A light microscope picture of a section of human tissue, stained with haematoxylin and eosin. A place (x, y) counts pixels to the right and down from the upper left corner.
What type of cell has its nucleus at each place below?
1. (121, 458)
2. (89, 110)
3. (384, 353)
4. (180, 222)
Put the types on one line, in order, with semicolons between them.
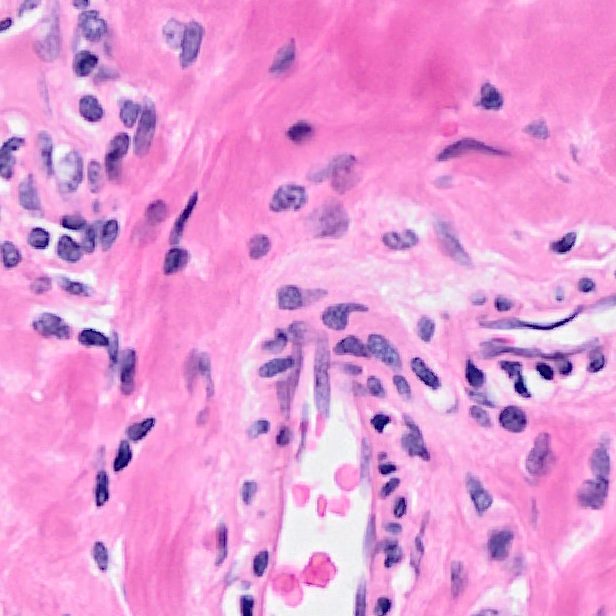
lymphocyte; lymphocyte; endothelial cell; fibroblast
